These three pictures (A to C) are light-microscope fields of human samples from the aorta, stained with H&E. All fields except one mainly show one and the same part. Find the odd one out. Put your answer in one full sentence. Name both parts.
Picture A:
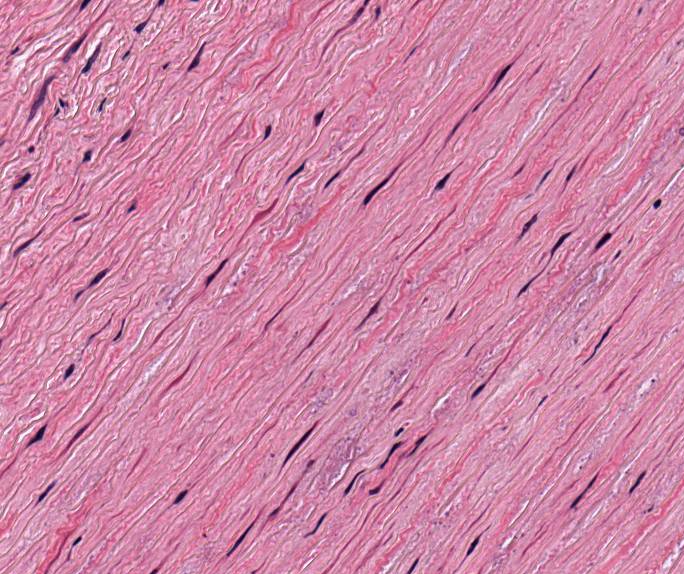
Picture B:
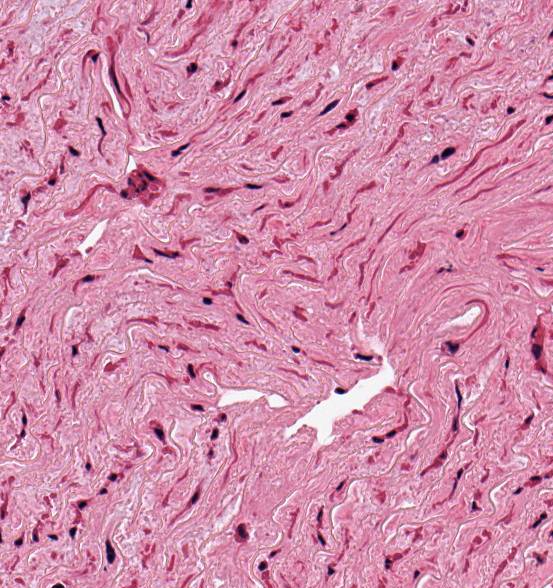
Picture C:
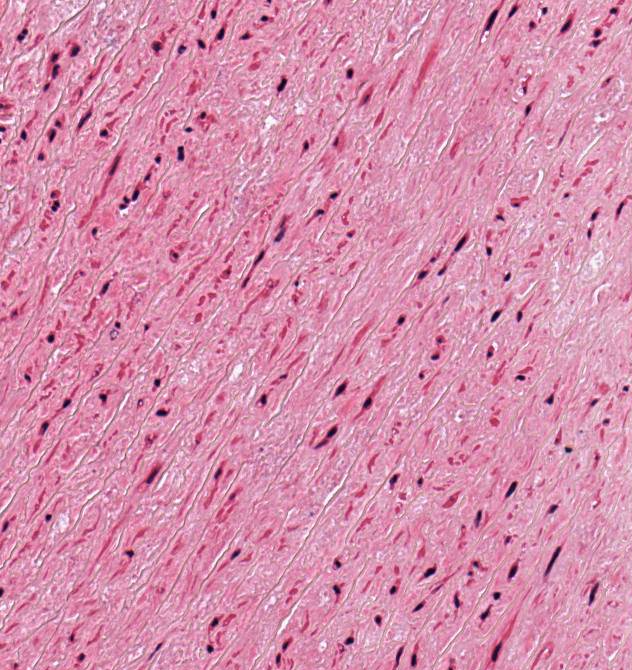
Picture B is the odd one out: it mainly shows the tunica adventitia, while the others mainly show the tunica media.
